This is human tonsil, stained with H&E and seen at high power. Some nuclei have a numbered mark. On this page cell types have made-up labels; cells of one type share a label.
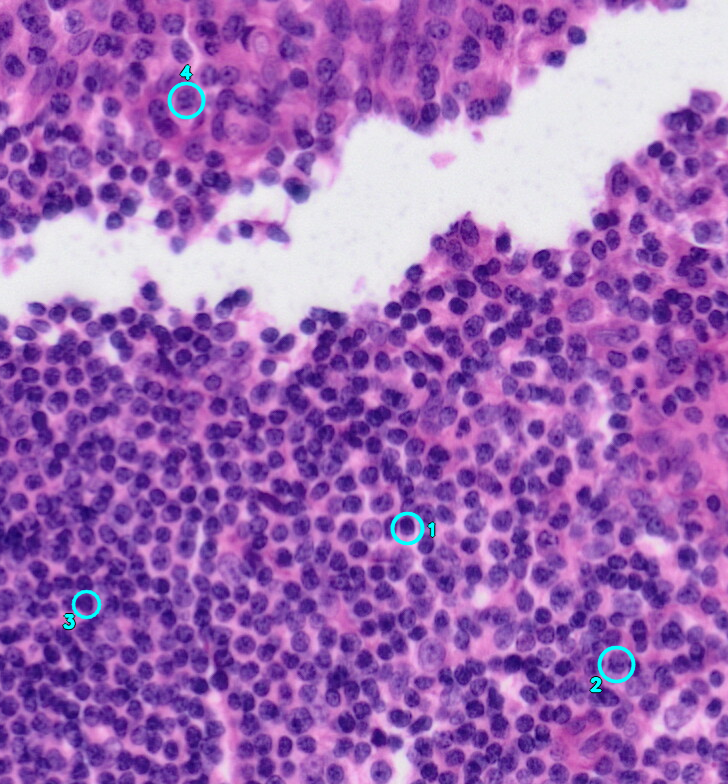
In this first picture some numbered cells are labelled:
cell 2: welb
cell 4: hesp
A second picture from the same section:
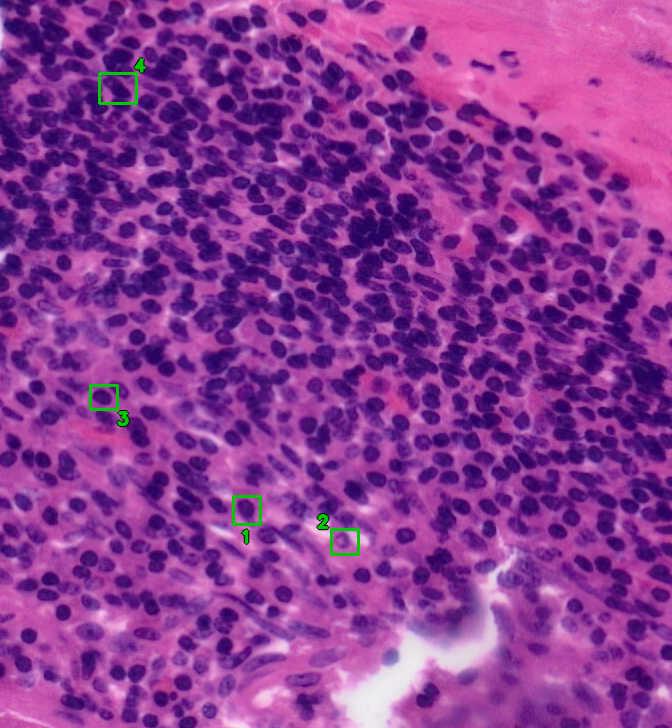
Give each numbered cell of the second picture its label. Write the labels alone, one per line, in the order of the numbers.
hesp
hesp
hesp
welb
